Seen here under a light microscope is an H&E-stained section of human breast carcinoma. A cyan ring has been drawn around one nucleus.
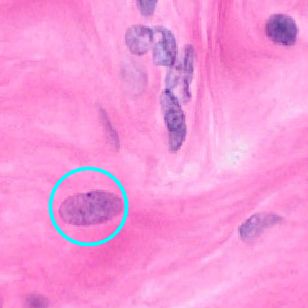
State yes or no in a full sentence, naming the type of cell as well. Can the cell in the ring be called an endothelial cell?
No, the cell in the ring qualifies as a fibroblast and does not qualify as an endothelial cell.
